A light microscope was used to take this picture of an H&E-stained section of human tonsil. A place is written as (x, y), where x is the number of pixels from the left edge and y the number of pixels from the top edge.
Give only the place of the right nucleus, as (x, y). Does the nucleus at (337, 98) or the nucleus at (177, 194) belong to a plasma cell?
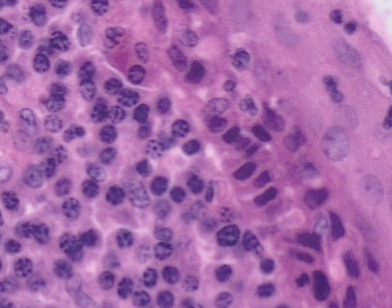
(177, 194)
